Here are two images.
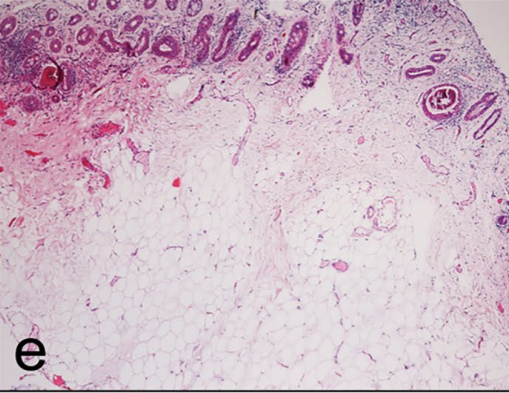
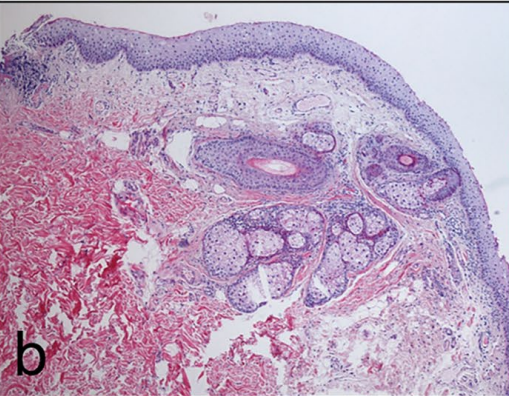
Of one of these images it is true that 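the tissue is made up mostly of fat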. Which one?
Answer: the first image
